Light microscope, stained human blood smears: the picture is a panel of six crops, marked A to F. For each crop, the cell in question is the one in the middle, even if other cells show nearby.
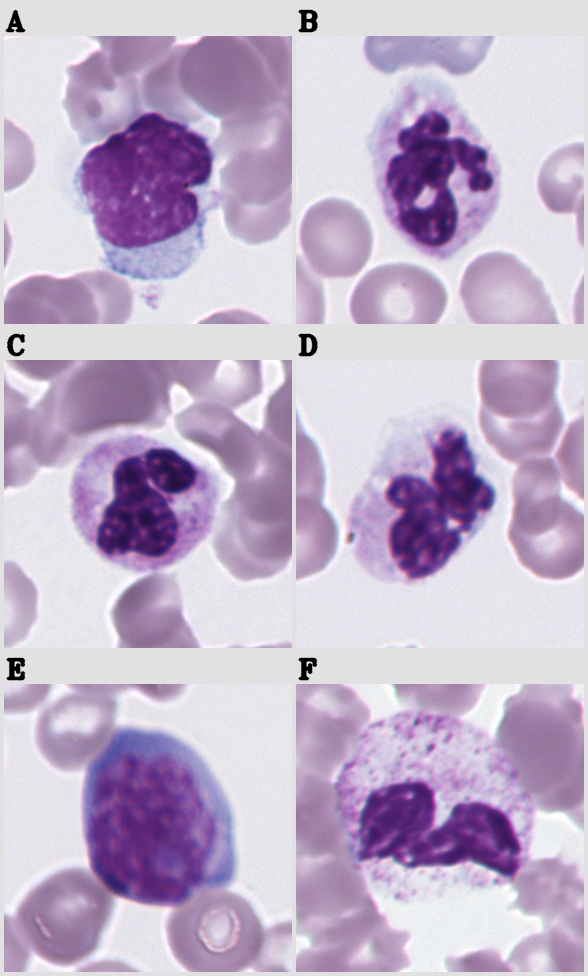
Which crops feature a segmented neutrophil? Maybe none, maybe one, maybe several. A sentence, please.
Crops B, C, D and F have segmented neutrophils as the central cells.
